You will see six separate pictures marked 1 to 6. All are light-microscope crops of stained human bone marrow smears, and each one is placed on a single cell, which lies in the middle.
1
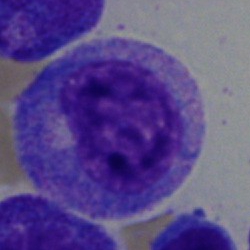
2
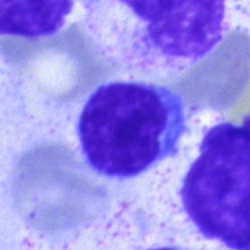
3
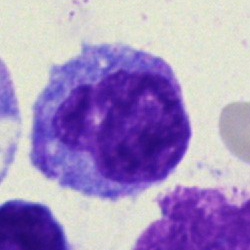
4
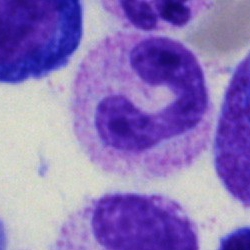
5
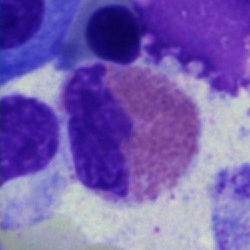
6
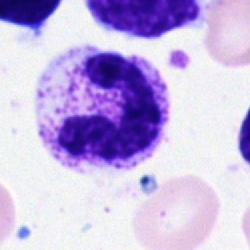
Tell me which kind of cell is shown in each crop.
1: promyelocyte
2: lymphocyte
3: monocyte
4: band neutrophil
5: eosinophil
6: segmented neutrophil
